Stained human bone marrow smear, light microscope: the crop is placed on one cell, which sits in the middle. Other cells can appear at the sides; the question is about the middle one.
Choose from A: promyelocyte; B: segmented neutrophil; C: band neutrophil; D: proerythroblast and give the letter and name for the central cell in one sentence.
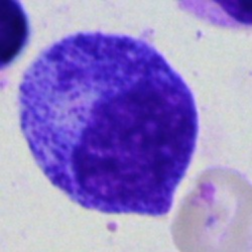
The cell centered in the crop is a promyelocyte, making option A the correct pick.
